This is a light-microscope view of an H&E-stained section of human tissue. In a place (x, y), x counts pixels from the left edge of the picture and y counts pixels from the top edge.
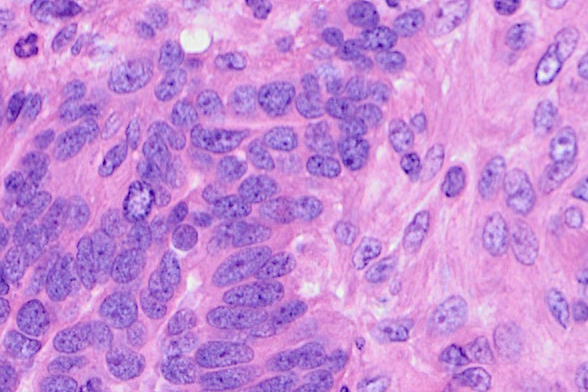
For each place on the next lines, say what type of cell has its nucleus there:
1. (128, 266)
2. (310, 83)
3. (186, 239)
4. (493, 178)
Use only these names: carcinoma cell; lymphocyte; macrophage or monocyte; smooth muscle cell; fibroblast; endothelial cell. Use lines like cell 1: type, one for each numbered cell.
cell 1: carcinoma cell
cell 2: carcinoma cell
cell 3: carcinoma cell
cell 4: fibroblast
